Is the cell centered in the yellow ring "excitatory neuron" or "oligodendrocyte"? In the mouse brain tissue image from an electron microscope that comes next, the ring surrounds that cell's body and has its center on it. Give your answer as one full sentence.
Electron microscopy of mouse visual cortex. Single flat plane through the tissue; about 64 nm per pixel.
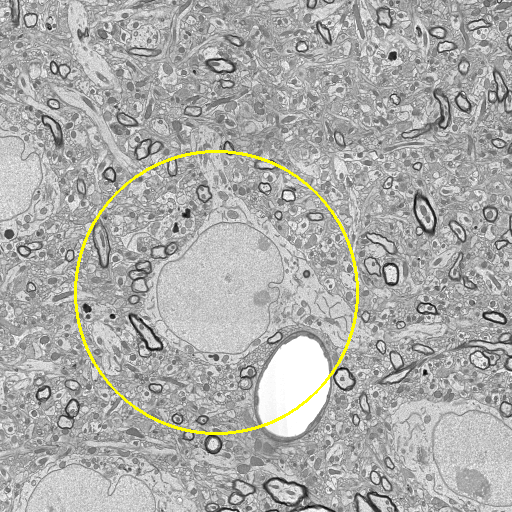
The cell at the center of the yellow ring is an excitatory neuron in the micrograph.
